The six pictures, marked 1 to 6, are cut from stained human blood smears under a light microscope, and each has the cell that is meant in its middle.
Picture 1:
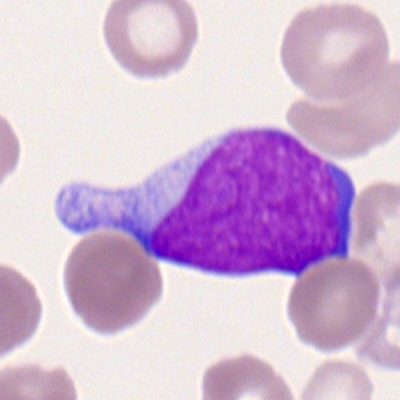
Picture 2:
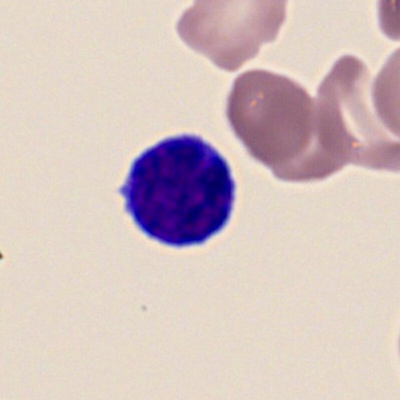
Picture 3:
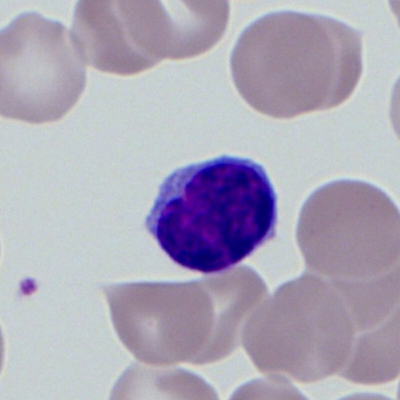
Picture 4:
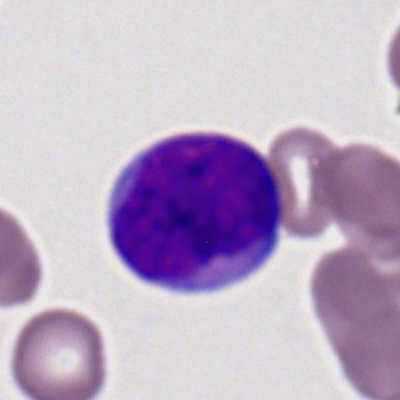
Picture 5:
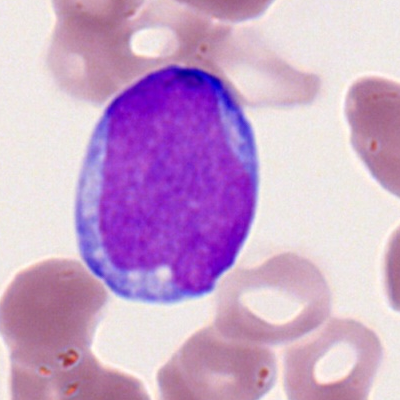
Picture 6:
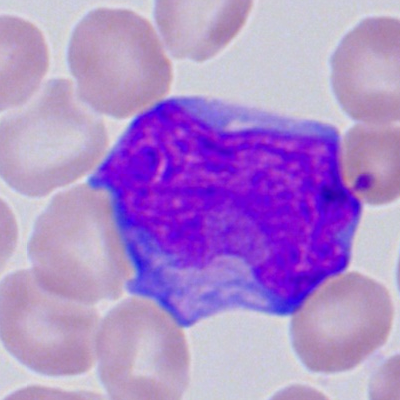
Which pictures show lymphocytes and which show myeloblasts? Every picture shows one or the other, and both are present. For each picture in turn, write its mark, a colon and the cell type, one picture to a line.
1: myeloblast
2: lymphocyte
3: lymphocyte
4: myeloblast
5: myeloblast
6: myeloblast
